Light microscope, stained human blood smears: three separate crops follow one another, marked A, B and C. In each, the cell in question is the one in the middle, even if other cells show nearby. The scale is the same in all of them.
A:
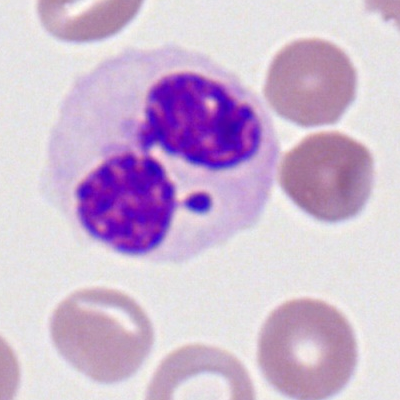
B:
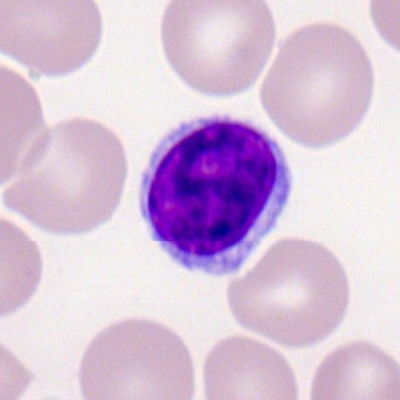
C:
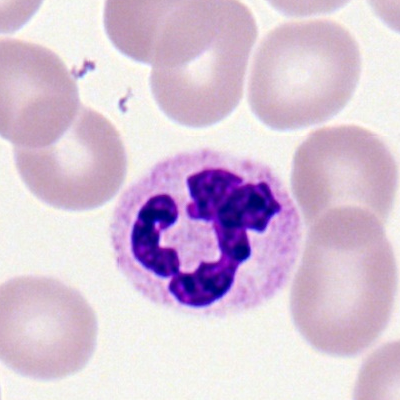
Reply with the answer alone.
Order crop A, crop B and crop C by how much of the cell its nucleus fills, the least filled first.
C, A, B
